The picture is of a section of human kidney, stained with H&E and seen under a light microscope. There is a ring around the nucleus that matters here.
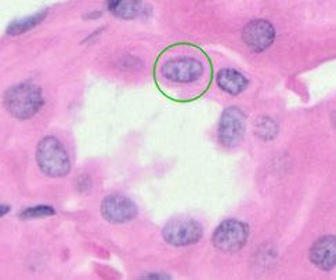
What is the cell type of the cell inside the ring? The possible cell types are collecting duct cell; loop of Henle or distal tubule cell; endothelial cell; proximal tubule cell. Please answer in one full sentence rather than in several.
In terms of identity, the cell inside the ring is a collecting duct cell.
